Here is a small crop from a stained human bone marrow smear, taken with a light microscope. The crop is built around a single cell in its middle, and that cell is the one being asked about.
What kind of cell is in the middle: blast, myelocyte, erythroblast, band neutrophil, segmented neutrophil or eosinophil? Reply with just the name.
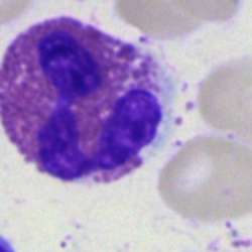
eosinophil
